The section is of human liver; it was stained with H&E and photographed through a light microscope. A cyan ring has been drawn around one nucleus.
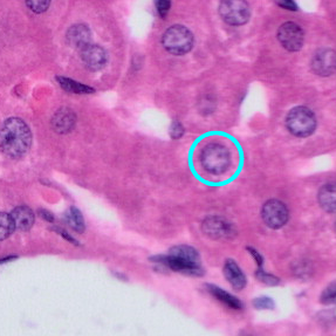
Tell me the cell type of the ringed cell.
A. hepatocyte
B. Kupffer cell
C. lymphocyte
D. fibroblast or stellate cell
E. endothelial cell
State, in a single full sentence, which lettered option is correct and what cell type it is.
In keeping with option A, the ringed cell is a hepatocyte.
